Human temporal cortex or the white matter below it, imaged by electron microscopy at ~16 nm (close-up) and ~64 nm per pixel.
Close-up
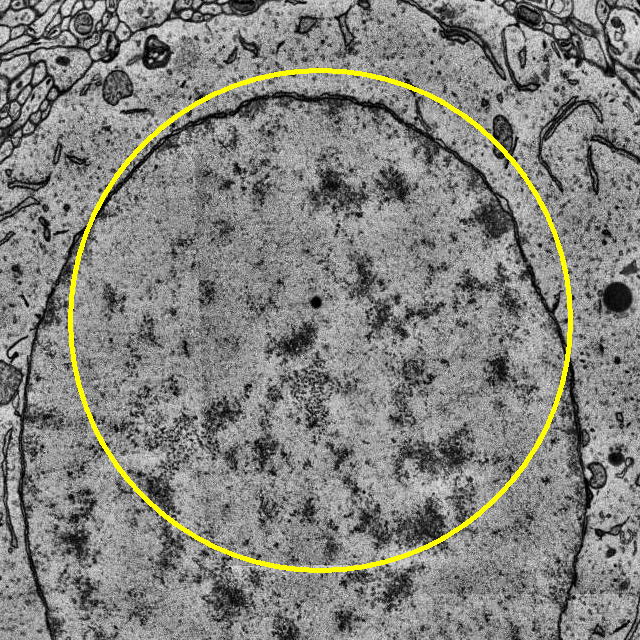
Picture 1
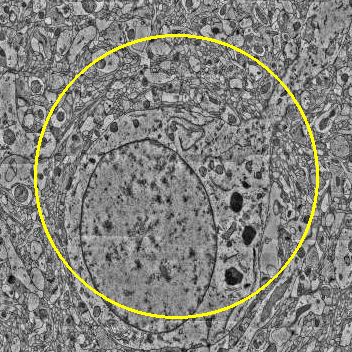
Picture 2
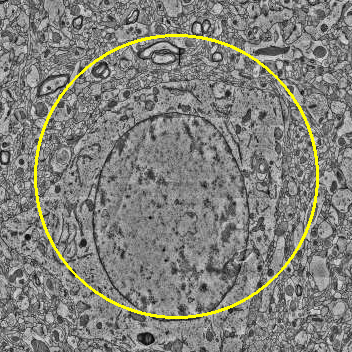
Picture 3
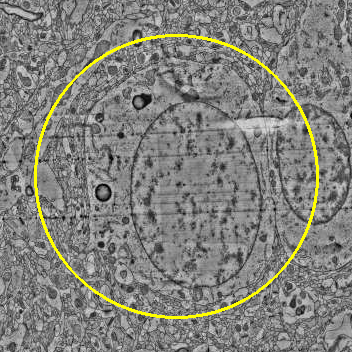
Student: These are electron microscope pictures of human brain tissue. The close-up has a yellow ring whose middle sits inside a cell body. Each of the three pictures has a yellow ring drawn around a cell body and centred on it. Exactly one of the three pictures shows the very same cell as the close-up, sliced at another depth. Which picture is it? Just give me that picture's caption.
Picture 2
